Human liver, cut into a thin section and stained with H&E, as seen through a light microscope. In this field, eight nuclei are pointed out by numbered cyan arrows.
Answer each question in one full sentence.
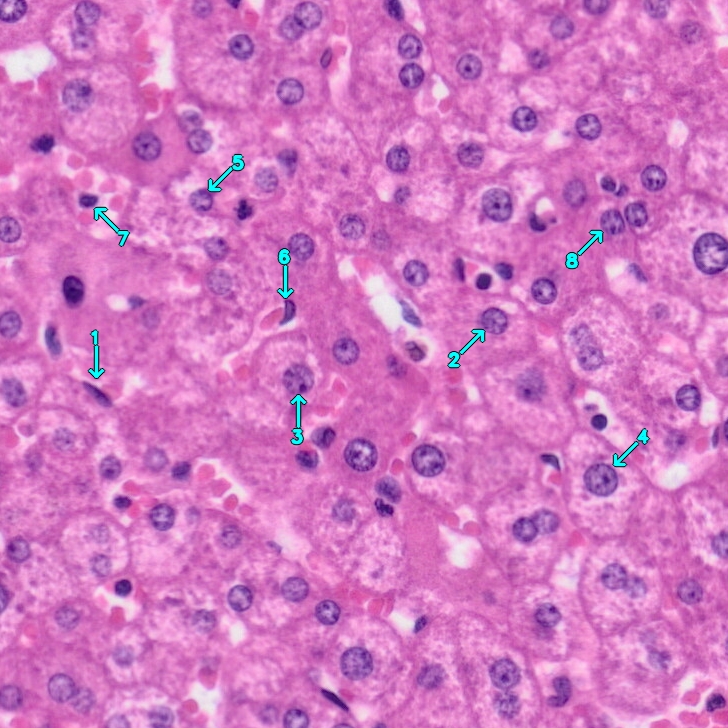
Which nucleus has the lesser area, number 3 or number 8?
It is nucleus 8; nucleus 3 has about 1.5 times its area.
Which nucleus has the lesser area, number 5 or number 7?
Nucleus 7 is the smaller one; nucleus 5 covers about 1.5 times its area.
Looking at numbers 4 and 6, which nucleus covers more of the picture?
At about 3 times the area of nucleus 6, nucleus 4 is the larger of the two.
